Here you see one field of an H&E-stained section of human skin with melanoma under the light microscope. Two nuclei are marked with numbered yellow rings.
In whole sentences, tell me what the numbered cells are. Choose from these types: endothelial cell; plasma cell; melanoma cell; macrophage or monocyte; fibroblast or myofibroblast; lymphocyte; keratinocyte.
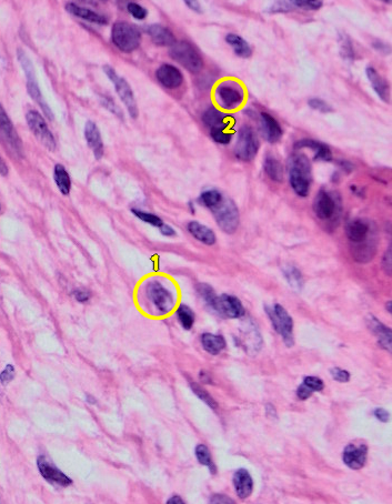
Cell 1 is a fibroblast or myofibroblast. Cell 2 is a keratinocyte.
